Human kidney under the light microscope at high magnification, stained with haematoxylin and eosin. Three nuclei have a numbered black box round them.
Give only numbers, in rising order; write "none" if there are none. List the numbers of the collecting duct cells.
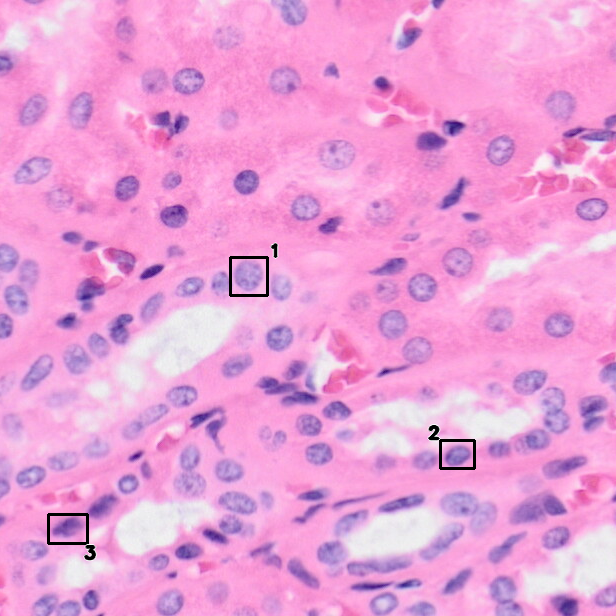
1, 3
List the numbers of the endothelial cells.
none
